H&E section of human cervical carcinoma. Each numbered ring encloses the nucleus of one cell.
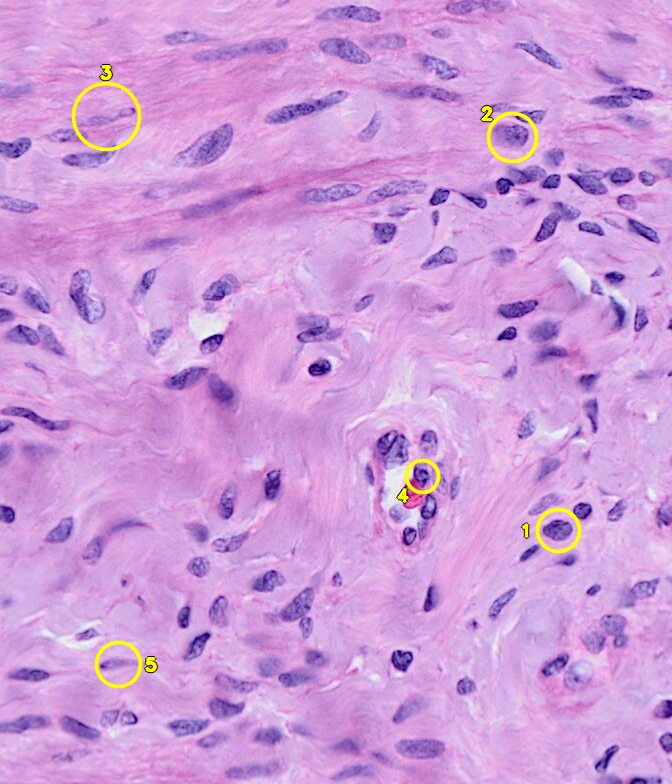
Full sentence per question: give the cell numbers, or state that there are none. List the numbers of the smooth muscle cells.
Only at number 3 is there a smooth muscle cell.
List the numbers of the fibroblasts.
The cells numbered 1, 2 and 5 are of the kind known as fibroblasts.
